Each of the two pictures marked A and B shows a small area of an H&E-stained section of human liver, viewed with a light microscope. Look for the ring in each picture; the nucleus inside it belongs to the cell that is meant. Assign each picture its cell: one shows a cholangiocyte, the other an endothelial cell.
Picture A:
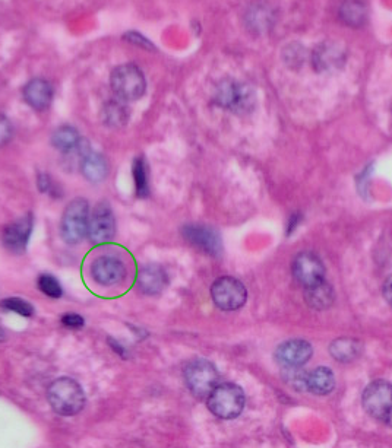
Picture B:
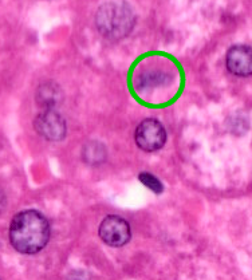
A: cholangiocyte
B: endothelial cell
